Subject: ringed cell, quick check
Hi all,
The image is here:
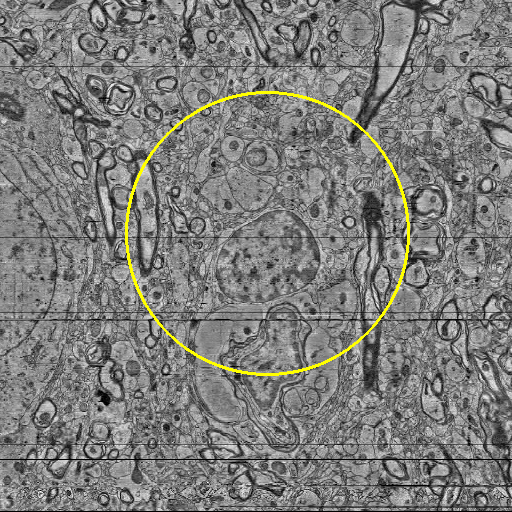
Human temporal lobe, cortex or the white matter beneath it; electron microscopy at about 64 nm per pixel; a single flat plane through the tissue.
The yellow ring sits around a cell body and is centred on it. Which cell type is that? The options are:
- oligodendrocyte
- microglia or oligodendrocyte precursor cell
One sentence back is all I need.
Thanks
That ringed cell is a microglial cell or oligodendrocyte precursor cell.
